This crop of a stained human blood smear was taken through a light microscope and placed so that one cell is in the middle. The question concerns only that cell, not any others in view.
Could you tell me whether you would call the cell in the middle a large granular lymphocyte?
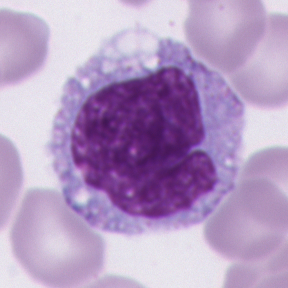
no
